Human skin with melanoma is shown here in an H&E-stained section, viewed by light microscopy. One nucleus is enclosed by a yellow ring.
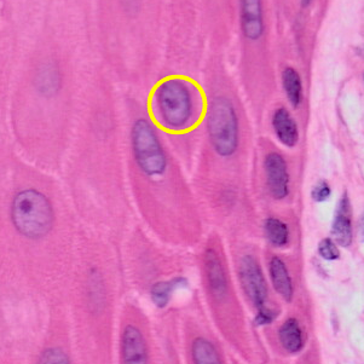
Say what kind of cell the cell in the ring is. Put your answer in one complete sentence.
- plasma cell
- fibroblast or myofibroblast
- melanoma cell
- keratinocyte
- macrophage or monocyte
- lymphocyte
At the level of cell identity, the cell in the ring is a keratinocyte.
